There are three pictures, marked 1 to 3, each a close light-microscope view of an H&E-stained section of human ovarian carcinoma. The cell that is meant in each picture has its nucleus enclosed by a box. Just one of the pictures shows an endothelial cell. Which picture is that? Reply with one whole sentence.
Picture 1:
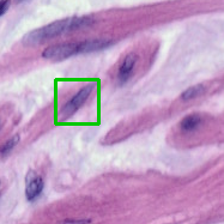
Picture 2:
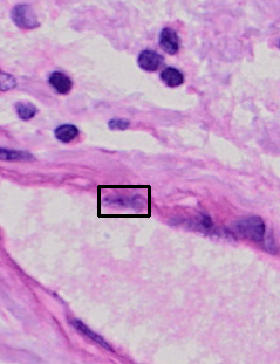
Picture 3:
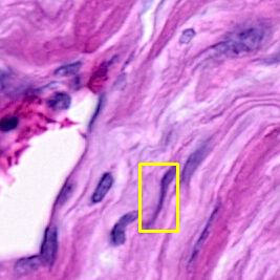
It is picture 2 that shows the endothelial cell.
